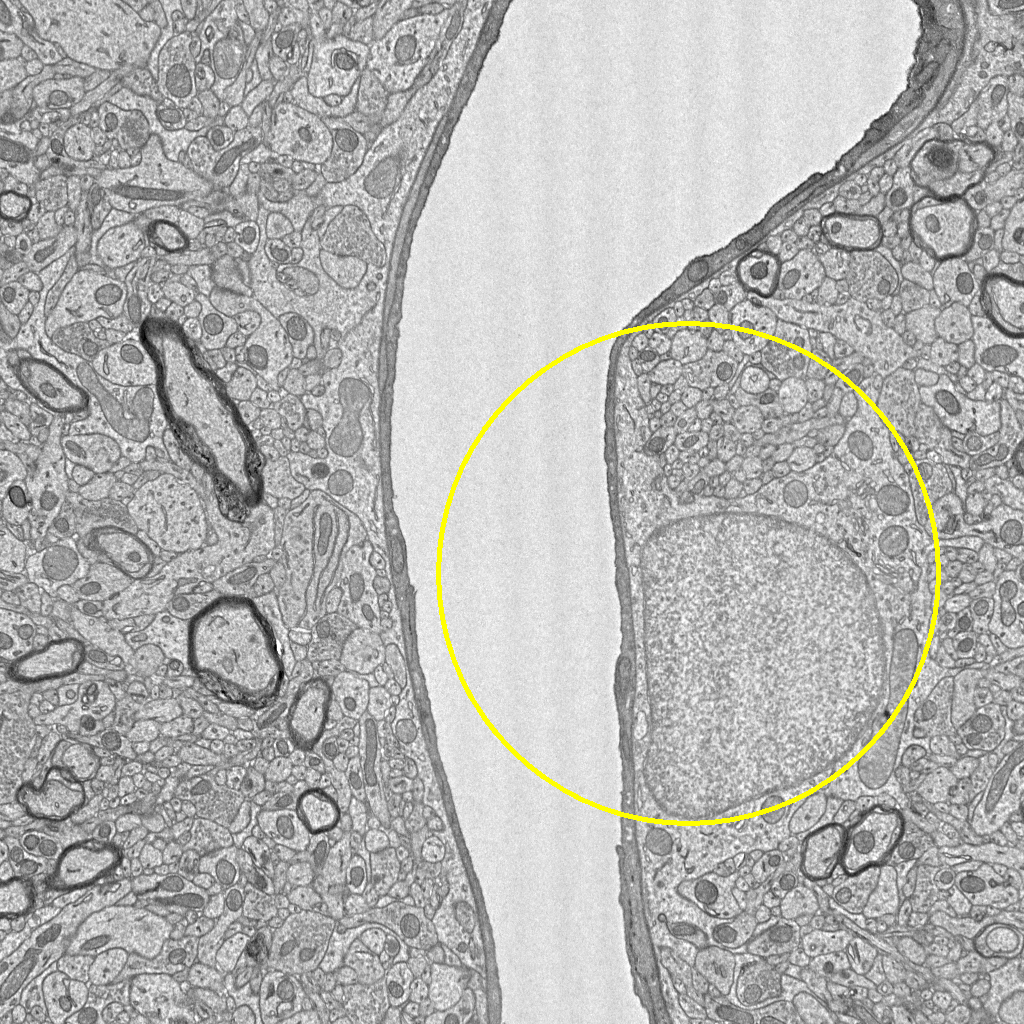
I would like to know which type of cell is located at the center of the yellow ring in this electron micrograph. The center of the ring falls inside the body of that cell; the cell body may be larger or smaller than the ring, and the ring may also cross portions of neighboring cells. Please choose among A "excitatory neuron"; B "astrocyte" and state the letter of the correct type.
B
